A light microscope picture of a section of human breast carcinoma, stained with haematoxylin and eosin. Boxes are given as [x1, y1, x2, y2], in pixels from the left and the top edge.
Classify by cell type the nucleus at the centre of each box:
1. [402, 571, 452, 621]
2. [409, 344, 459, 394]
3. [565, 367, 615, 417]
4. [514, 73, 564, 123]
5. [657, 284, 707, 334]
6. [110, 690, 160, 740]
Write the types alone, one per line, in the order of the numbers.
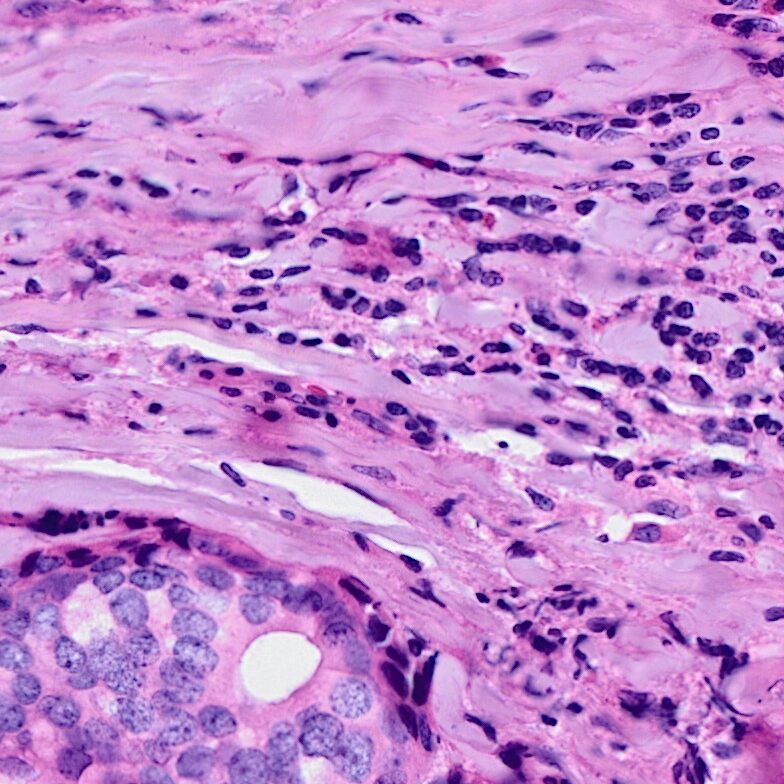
fibroblast
lymphocyte
lymphocyte
mast cell
lymphocyte
carcinoma cell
